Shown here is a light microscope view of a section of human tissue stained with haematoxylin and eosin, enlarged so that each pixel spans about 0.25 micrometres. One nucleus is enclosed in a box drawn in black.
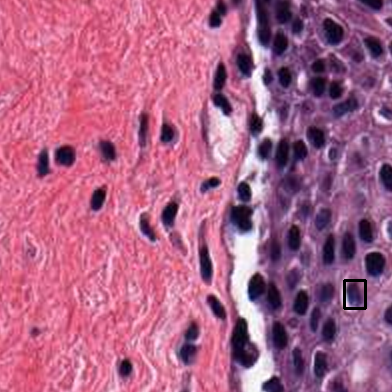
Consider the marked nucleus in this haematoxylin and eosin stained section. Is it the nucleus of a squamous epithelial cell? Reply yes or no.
yes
